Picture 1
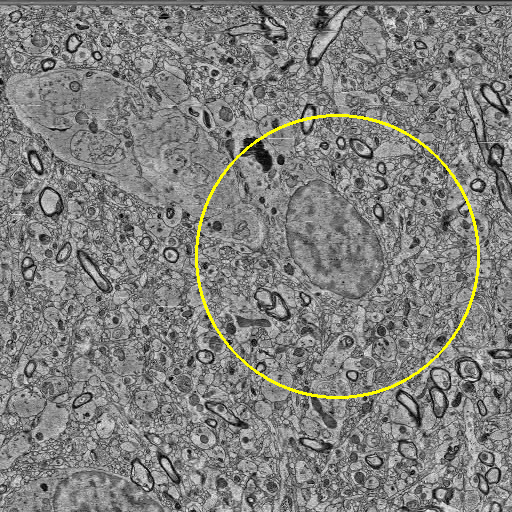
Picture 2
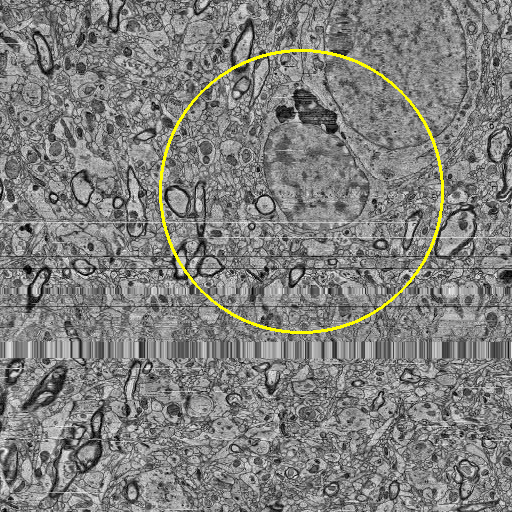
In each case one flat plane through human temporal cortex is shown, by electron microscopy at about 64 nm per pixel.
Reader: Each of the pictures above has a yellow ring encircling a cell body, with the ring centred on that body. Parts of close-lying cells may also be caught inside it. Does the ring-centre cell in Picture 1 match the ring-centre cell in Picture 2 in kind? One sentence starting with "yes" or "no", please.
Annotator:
Yes, Picture 1 and Picture 2 show ring-centre cells of a single kind.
